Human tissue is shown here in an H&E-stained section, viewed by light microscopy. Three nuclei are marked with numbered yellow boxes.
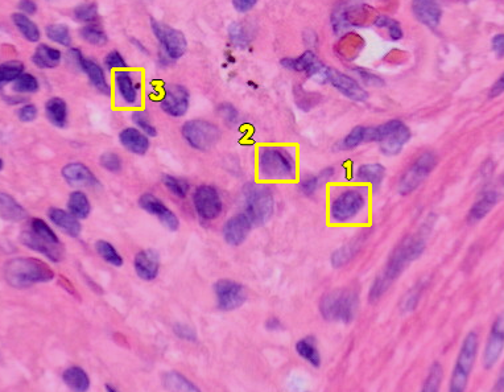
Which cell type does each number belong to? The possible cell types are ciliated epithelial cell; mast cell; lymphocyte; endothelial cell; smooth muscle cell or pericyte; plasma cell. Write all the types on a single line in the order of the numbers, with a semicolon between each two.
mast cell; plasma cell; lymphocyte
